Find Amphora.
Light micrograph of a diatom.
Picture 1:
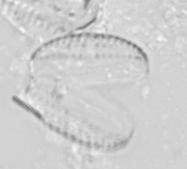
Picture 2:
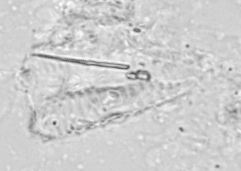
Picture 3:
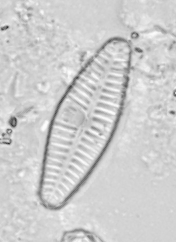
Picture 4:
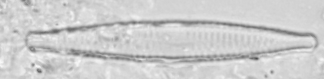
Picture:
1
